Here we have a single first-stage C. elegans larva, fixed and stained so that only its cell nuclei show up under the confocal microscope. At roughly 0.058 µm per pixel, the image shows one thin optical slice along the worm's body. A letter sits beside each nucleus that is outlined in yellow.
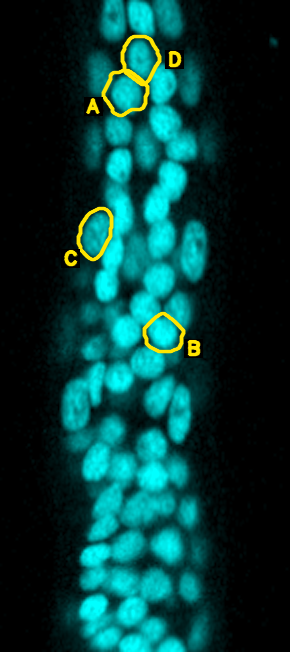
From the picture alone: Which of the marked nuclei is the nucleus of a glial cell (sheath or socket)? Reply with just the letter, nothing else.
A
